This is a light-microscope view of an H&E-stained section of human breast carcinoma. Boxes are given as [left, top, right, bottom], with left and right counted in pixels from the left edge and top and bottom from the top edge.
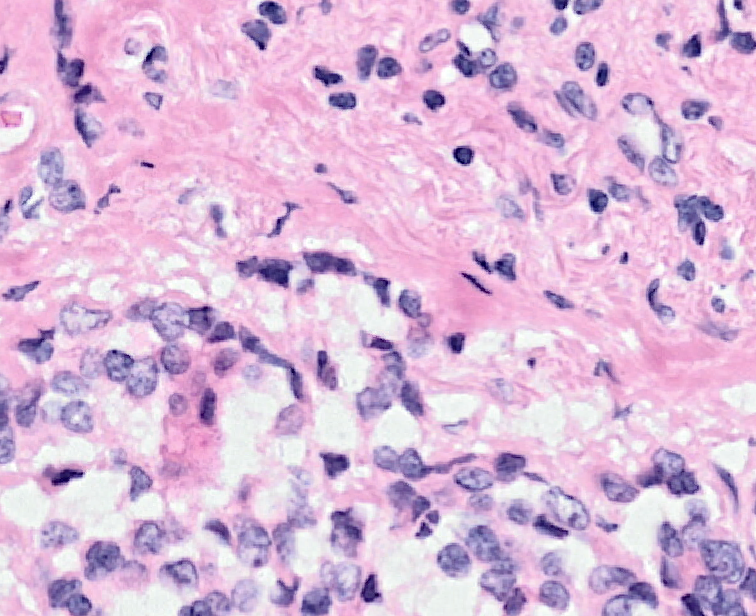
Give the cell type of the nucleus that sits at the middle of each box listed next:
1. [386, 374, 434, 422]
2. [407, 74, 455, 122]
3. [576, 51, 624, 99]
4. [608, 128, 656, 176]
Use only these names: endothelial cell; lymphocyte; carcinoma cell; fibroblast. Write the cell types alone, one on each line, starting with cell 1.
carcinoma cell
lymphocyte
lymphocyte
endothelial cell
